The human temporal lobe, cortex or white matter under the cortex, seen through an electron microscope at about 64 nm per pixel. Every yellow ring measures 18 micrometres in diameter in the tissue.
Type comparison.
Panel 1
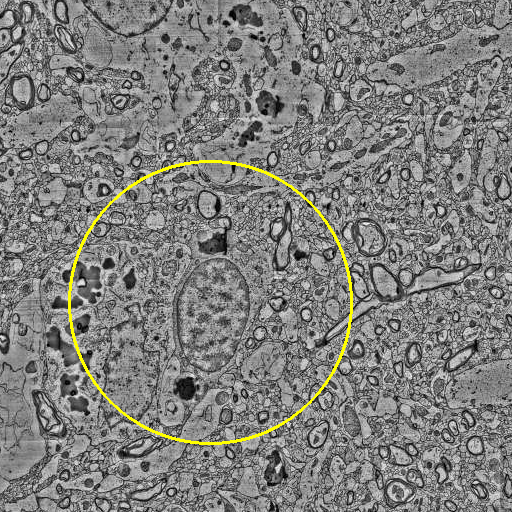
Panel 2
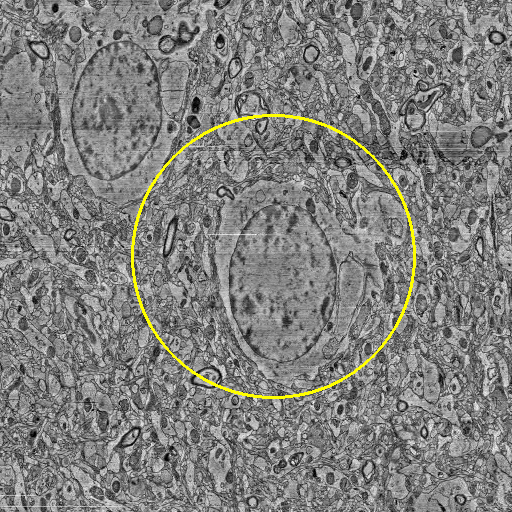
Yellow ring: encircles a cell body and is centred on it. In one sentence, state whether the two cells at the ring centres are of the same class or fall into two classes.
In these panels, the two cells at the ring centres fall into two classes.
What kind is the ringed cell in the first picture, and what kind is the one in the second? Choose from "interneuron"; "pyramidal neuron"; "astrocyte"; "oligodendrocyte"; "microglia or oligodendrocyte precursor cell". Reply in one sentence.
The first cell is an oligodendrocyte; the second is an astrocyte.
